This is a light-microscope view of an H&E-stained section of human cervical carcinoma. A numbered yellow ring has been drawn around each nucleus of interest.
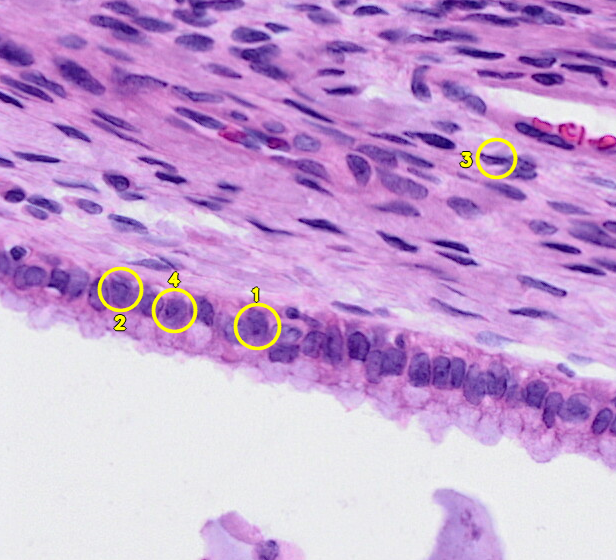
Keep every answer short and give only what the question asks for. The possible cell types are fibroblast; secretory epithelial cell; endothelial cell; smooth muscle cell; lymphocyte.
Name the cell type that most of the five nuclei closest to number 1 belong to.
secretory epithelial cell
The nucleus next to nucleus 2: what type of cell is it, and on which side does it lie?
a secretory epithelial cell, to the left of nucleus 2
